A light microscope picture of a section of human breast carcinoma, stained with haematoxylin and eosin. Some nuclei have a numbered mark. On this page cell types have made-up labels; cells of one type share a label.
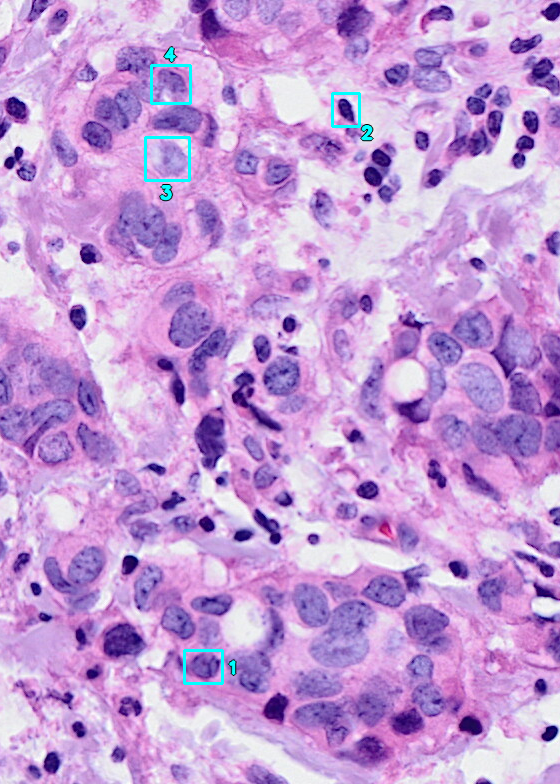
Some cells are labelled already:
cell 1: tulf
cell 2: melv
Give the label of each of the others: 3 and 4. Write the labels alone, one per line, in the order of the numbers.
tulf
tulf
